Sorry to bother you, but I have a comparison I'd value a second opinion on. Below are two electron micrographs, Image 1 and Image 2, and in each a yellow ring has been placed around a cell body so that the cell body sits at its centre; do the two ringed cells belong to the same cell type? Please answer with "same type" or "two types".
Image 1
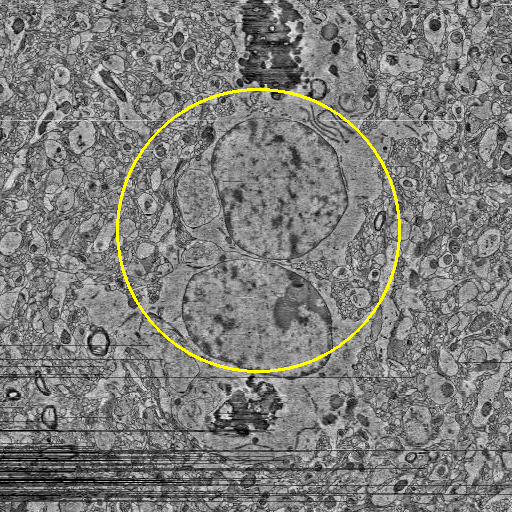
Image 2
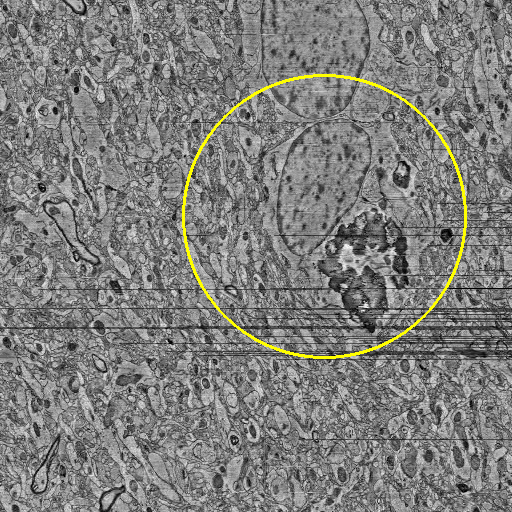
same type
